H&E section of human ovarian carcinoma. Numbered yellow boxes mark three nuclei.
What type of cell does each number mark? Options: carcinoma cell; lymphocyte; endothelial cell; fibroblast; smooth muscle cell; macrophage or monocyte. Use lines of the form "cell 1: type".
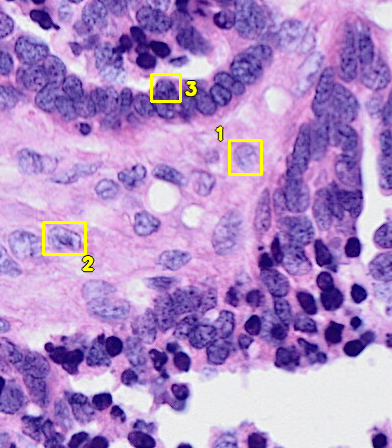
cell 1: fibroblast
cell 2: fibroblast
cell 3: carcinoma cell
